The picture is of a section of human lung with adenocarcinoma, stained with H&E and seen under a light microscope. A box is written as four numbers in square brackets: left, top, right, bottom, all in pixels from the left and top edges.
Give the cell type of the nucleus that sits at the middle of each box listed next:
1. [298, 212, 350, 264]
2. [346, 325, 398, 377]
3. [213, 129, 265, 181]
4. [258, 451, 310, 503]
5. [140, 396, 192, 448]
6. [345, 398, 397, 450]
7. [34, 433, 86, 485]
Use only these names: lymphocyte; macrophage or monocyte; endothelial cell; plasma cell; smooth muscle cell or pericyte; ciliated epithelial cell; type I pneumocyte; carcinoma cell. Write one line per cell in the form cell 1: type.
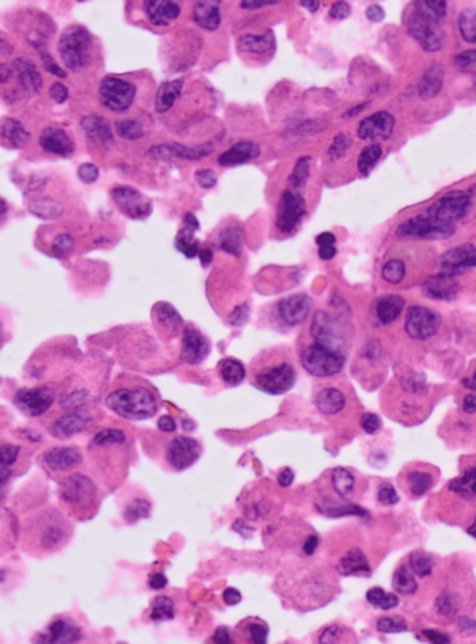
cell 1: lymphocyte
cell 2: carcinoma cell
cell 3: carcinoma cell
cell 4: lymphocyte
cell 5: lymphocyte
cell 6: lymphocyte
cell 7: carcinoma cell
